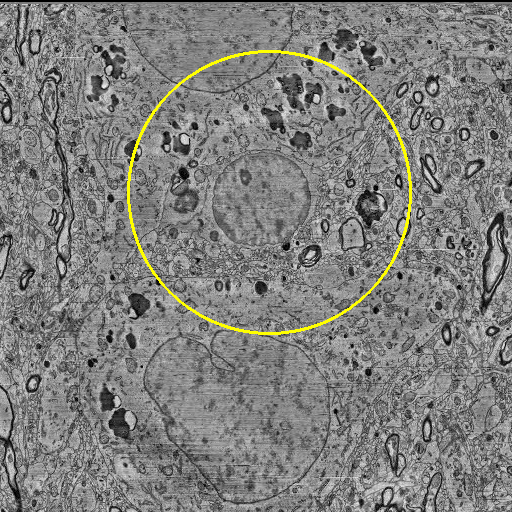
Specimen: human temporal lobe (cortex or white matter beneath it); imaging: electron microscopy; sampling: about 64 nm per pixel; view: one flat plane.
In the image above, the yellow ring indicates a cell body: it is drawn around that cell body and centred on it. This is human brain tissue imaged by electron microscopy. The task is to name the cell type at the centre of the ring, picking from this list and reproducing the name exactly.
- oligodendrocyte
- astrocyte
oligodendrocyte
